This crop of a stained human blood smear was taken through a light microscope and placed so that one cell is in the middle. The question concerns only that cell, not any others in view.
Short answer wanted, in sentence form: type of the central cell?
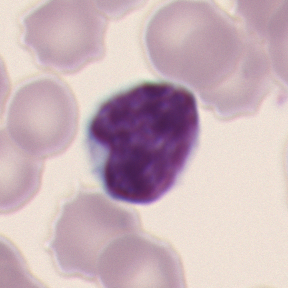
Classification of the middle cell gives a typical lymphocyte.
